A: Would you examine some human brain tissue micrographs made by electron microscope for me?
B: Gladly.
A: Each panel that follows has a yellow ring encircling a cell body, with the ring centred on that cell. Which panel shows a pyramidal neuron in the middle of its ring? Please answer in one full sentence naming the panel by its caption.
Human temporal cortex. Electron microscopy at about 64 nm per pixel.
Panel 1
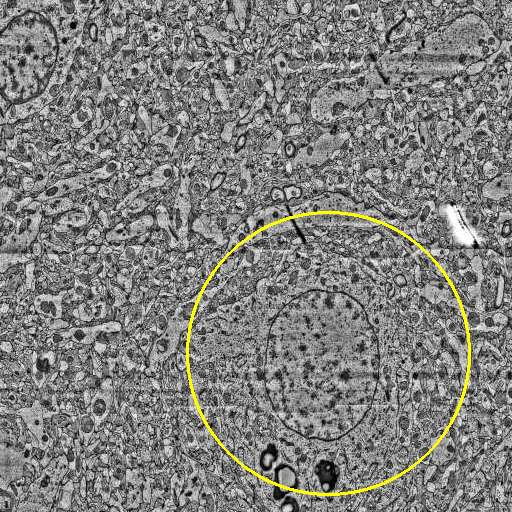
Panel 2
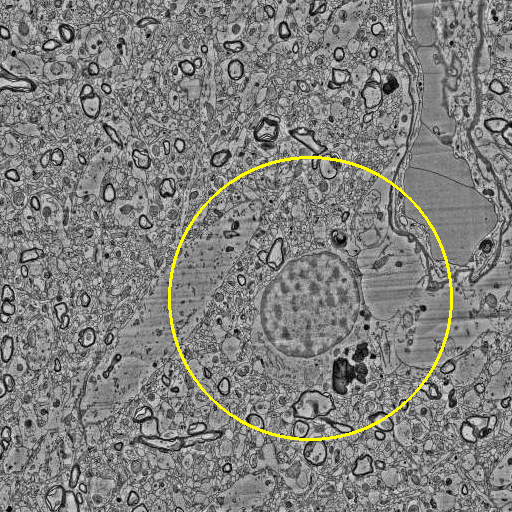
Panel 1 is where the ring sits centred on the requested cell.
